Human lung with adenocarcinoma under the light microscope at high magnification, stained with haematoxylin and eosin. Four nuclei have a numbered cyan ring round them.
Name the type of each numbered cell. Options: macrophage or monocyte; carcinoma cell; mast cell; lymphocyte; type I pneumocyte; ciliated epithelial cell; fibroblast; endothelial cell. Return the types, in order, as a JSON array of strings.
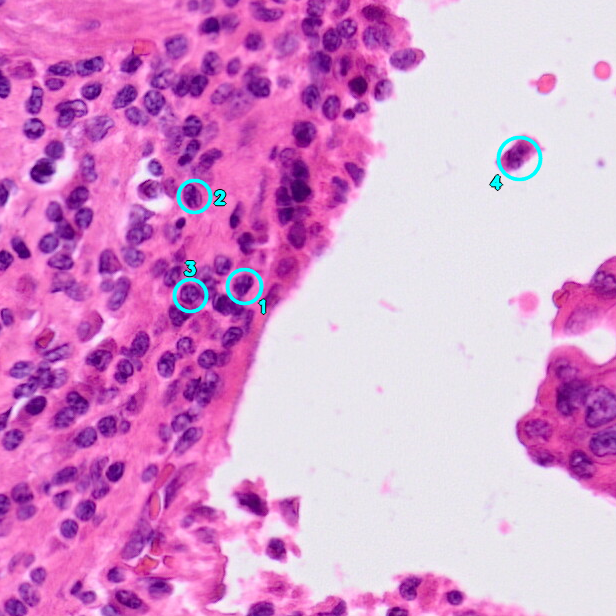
["lymphocyte", "lymphocyte", "lymphocyte", "macrophage or monocyte"]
